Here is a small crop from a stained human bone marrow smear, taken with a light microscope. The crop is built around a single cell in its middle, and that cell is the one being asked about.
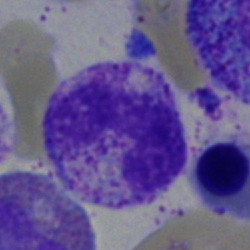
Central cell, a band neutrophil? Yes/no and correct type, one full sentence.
Yes, a band neutrophil is what the central cell is.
